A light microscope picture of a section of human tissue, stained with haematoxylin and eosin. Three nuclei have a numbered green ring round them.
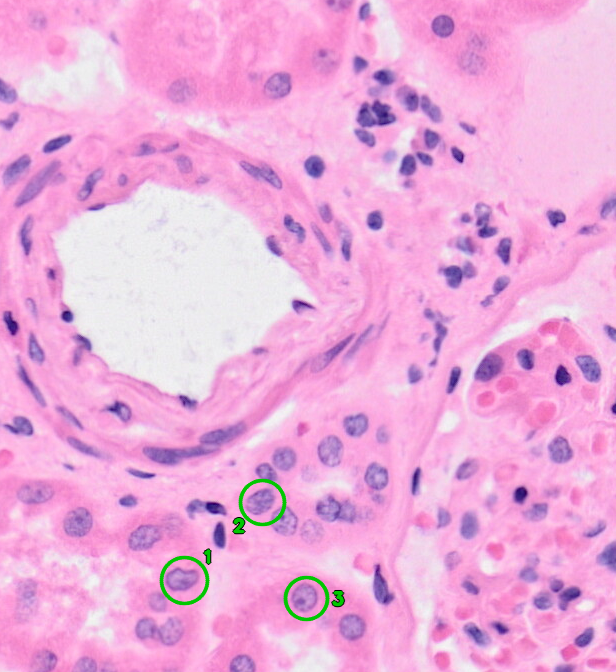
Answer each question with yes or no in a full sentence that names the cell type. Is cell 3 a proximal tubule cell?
Yes, the cell pointed out as number 3 is a proximal tubule cell.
